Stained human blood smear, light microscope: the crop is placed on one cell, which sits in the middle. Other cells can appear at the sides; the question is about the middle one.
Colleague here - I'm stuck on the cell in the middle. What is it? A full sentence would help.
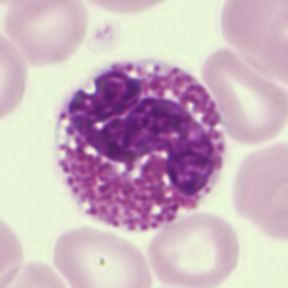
In this crop, the cell at the very middle is an eosinophil.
